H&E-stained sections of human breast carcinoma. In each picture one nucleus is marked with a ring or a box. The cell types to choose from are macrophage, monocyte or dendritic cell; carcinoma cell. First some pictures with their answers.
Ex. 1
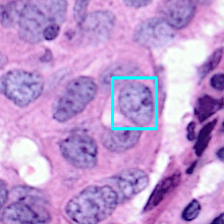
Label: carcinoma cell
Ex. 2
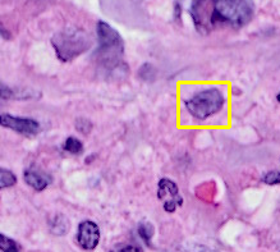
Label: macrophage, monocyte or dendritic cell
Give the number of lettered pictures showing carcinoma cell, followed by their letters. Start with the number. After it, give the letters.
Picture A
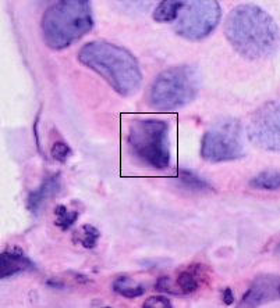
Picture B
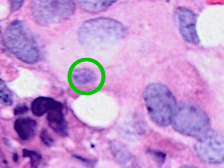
Count: 2 (A, B)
